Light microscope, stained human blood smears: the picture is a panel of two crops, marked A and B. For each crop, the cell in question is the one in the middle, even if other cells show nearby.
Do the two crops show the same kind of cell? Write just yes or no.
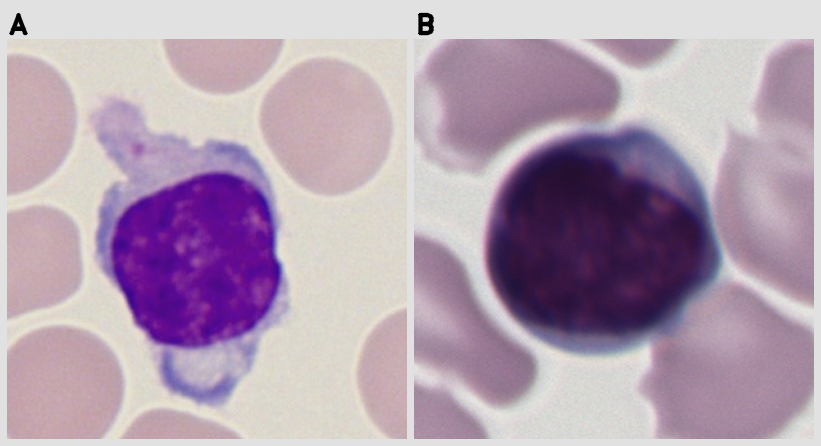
yes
